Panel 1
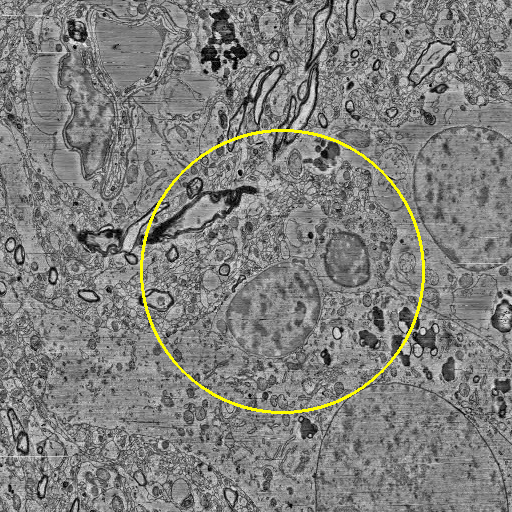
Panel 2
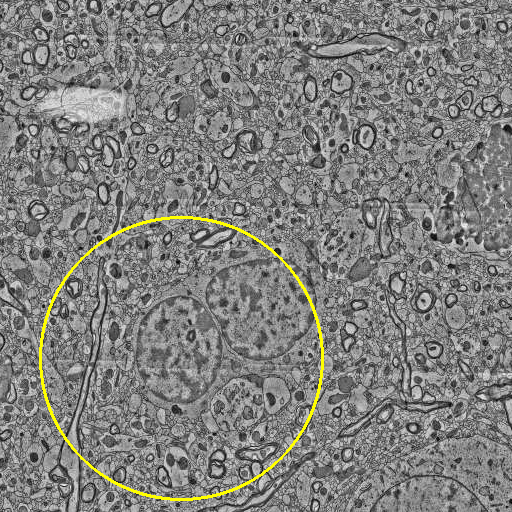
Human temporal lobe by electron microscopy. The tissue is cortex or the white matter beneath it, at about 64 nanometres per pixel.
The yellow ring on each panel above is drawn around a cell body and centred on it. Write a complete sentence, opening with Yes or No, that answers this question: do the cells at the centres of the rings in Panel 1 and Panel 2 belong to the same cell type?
Yes, both cells belong to the same cell type.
